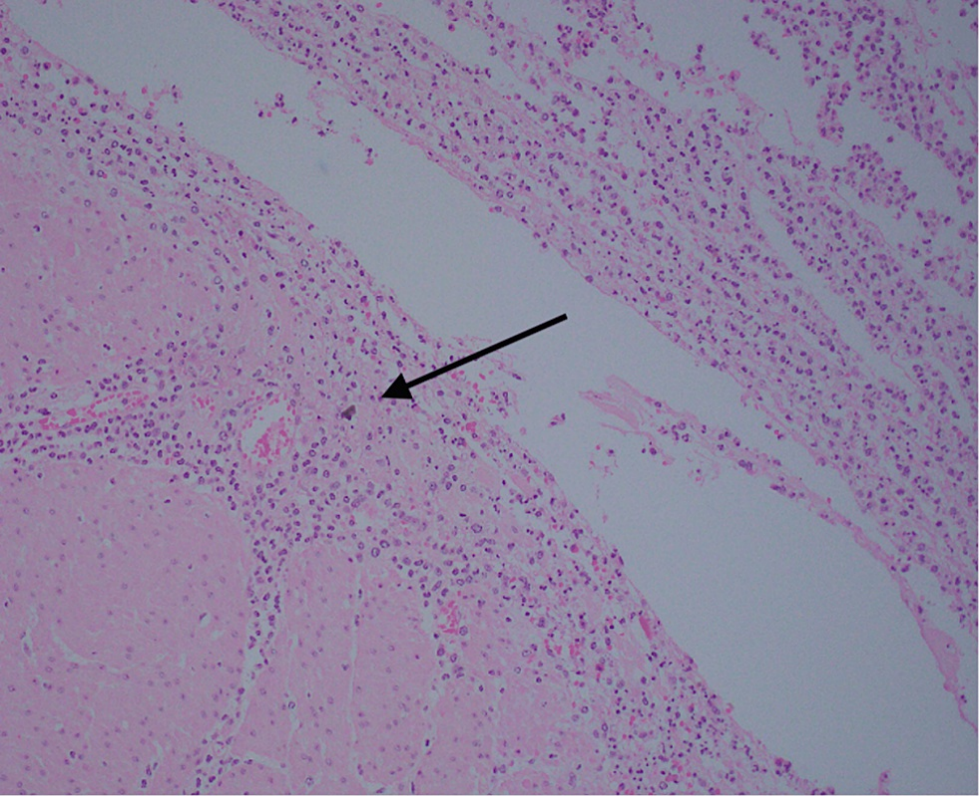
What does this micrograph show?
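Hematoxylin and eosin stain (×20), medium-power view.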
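This is the outer, serosal surface of a tissue wall, heavily covered by sheets of acute inflammatory cells, neutrophils. At the lower left lie large bundles of pale pink tissue with scattered, evenly spaced nuclei, separated by thin clefts. Toward the surface the pink bundles give way to a thick band crowded with small cells with dark nuclei, in which congested vessels filled with red blood cells can be seen. Beyond the surface, across an empty gap, loose strands of pale pink material carry more of the same inflammatory cells. Within the inflamed surface layer sits a tiny dark brownish fragment of foreign material.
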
